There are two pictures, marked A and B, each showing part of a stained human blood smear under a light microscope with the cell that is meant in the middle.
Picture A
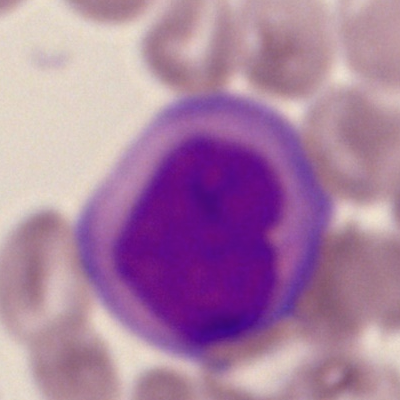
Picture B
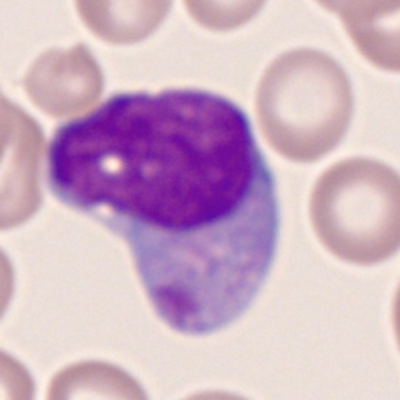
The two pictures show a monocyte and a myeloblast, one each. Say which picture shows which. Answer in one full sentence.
In picture A the cell is a myeloblast; in picture B, a monocyte.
